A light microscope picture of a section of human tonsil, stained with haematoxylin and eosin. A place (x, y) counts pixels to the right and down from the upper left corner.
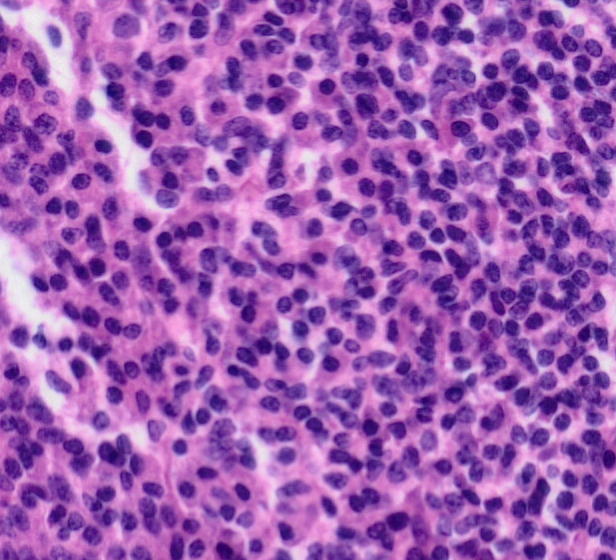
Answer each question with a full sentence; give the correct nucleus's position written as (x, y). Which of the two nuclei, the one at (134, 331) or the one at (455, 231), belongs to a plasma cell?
Of the two, the nucleus at (134, 331) is the one contained in a plasma cell.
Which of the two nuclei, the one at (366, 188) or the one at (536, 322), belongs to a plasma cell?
Between the pair, the nucleus at (366, 188) belongs to a plasma cell.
